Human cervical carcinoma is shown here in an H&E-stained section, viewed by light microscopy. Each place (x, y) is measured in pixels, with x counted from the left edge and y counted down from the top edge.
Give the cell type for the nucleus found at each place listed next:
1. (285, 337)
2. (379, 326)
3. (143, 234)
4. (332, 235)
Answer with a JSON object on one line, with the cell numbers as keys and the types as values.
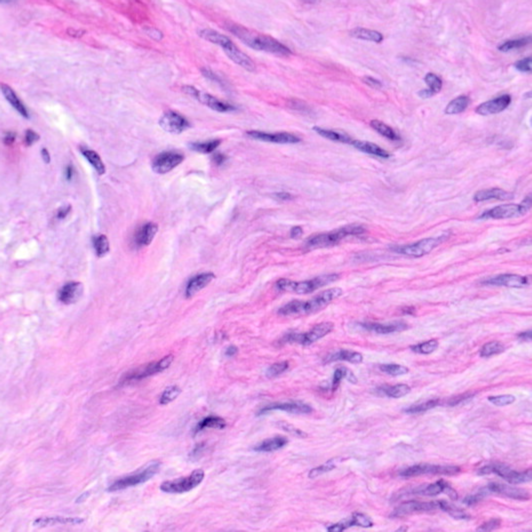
{"1": "smooth muscle cell", "2": "smooth muscle cell", "3": "fibroblast", "4": "smooth muscle cell"}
